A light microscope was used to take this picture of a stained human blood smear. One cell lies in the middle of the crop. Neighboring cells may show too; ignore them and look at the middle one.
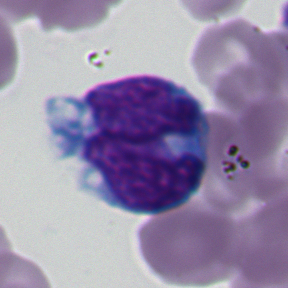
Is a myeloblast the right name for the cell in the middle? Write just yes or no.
no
